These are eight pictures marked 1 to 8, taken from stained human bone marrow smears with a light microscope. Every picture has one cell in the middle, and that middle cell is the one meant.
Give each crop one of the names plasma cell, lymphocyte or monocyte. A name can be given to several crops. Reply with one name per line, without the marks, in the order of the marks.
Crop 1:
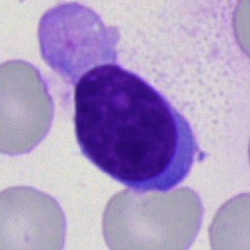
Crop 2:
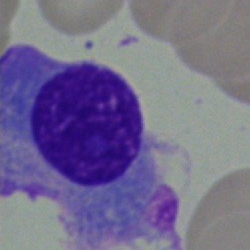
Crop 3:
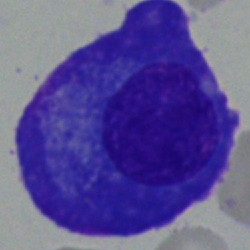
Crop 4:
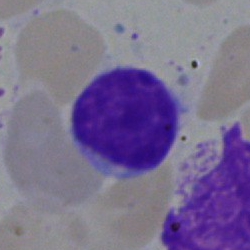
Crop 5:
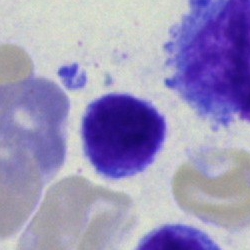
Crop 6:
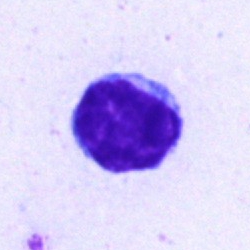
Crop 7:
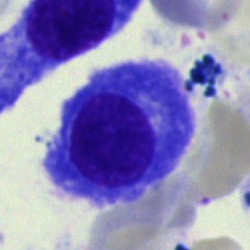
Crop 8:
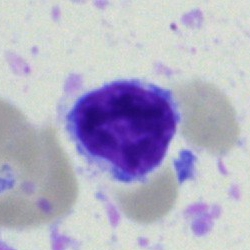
lymphocyte
plasma cell
plasma cell
lymphocyte
lymphocyte
lymphocyte
plasma cell
lymphocyte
